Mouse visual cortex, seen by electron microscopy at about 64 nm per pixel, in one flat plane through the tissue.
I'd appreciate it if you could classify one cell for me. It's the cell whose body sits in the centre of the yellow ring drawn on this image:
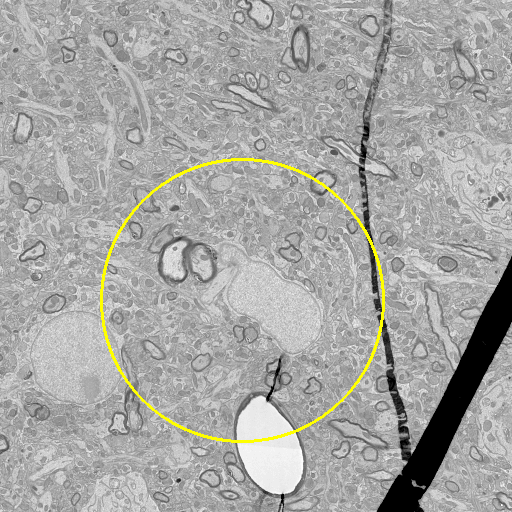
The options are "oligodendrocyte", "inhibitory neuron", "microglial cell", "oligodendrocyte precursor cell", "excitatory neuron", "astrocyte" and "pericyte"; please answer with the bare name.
oligodendrocyte precursor cell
